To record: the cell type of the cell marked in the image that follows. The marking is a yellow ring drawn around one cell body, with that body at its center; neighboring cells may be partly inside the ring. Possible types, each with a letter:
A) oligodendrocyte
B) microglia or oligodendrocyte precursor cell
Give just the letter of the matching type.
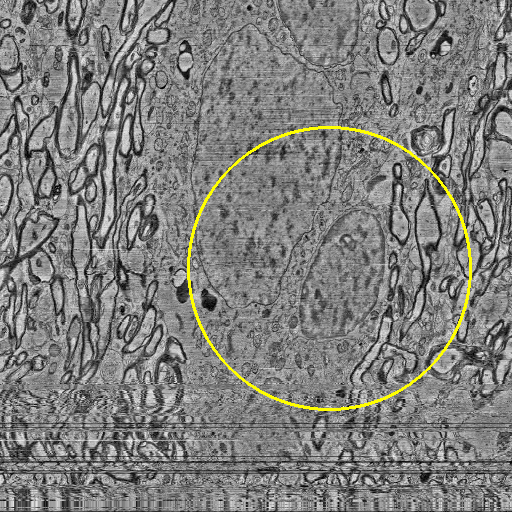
A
